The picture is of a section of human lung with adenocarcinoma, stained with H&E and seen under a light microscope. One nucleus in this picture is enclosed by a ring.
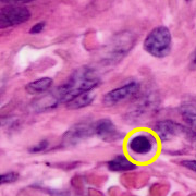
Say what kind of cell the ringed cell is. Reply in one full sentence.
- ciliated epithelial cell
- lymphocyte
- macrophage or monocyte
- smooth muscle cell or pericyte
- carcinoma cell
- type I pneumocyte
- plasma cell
In the tissue at hand, the ringed cell is a lymphocyte.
